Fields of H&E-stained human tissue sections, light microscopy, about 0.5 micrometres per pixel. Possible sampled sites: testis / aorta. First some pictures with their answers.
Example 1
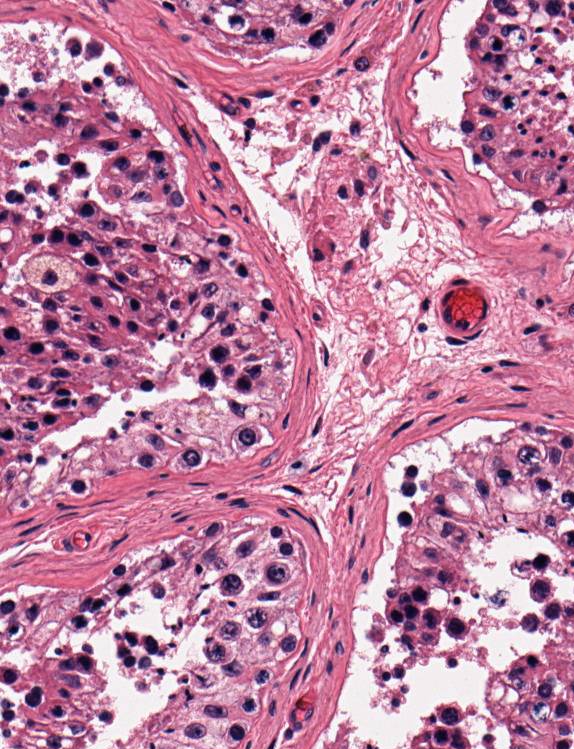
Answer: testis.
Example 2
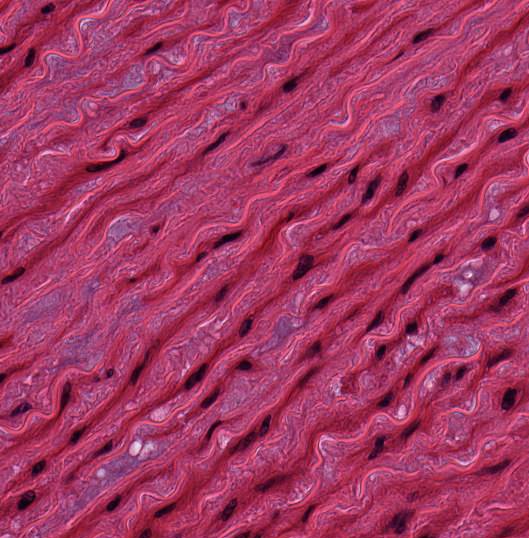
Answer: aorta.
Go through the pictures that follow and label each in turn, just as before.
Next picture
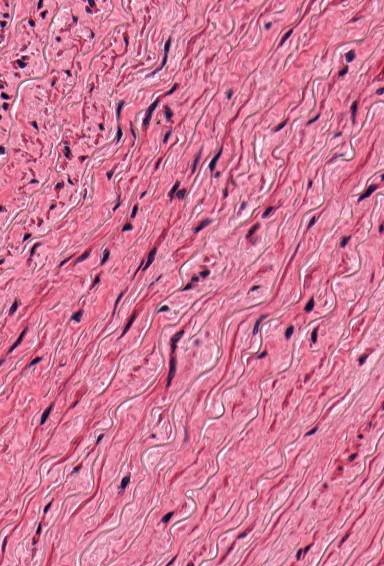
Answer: aorta.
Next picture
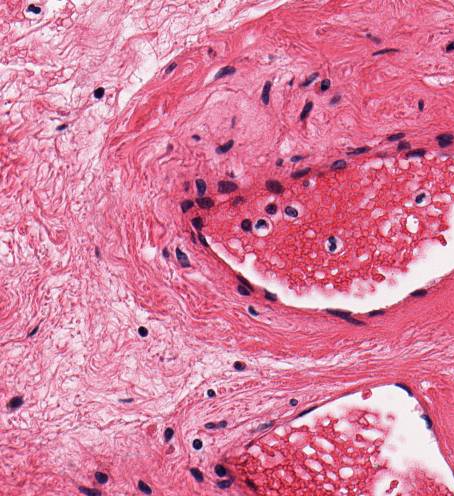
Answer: testis.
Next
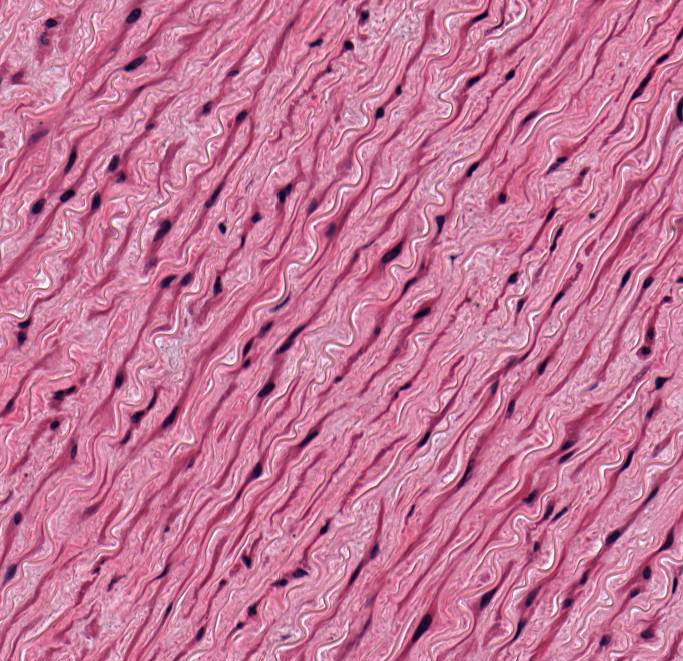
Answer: aorta.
